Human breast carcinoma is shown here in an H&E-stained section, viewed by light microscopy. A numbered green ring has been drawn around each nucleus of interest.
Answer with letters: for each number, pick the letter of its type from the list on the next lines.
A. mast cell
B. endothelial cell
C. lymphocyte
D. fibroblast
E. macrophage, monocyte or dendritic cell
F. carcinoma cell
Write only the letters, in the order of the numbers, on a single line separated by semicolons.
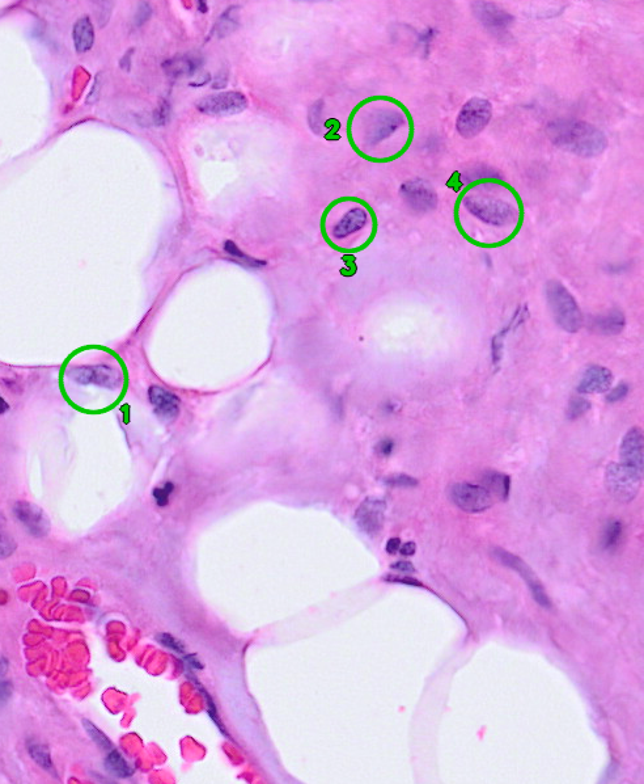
D; D; A; D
